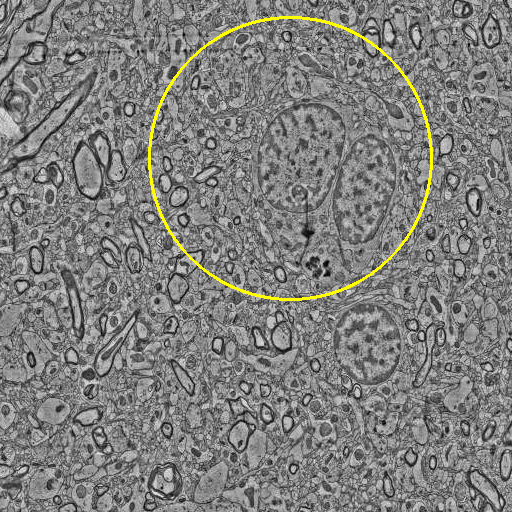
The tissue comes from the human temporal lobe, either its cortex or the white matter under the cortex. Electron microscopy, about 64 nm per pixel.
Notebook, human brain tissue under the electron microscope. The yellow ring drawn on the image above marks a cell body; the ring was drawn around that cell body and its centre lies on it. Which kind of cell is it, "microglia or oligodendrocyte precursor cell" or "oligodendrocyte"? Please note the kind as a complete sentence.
The marked cell body is that of an oligodendrocyte.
